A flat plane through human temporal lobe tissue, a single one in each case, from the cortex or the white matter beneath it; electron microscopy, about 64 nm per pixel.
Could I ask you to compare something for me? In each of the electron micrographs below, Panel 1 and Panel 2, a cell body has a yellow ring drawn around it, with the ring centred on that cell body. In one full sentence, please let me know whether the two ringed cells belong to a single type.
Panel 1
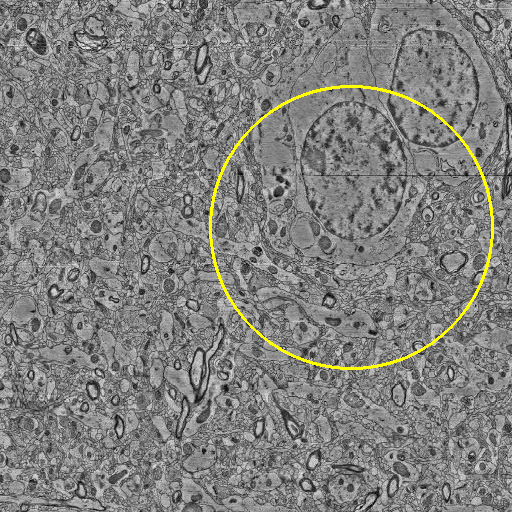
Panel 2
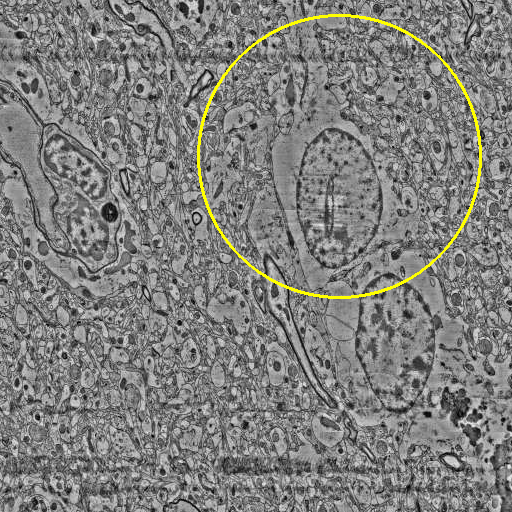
Yes, the two cells at the centres of the rings are of one type.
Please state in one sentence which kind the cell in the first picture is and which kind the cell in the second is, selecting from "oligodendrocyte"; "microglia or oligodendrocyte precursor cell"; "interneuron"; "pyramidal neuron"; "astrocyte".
Each of the two rings surrounds an astrocyte.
